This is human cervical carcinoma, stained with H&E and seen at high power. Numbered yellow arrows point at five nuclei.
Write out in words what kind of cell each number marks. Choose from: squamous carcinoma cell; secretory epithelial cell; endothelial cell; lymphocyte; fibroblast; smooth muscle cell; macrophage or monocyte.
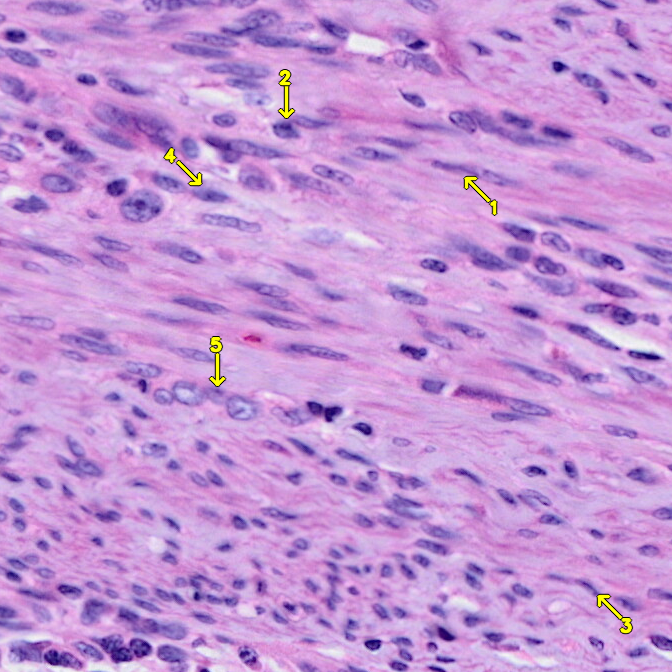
Cell 1 is a smooth muscle cell, cell 2 is a lymphocyte, cell 3 is a smooth muscle cell, cell 4 is a fibroblast and cell 5 is an endothelial cell.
